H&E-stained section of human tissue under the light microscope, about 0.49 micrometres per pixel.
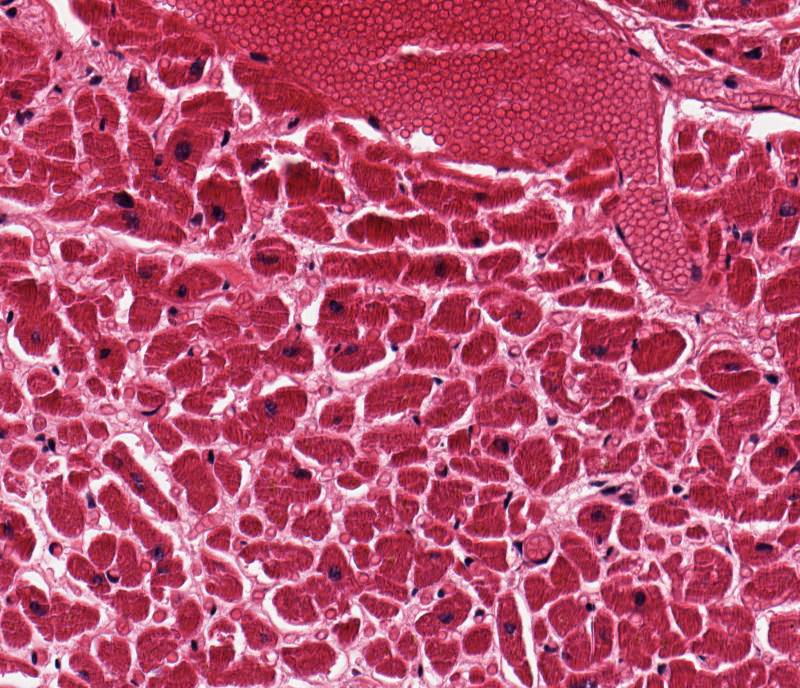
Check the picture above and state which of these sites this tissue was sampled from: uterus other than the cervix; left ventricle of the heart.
left ventricle of the heart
